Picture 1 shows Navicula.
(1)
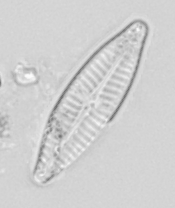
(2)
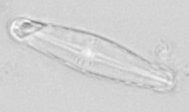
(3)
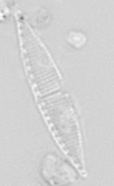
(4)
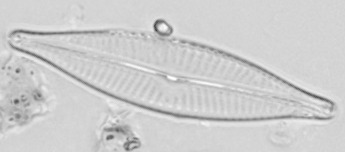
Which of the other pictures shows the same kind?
Picture 4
